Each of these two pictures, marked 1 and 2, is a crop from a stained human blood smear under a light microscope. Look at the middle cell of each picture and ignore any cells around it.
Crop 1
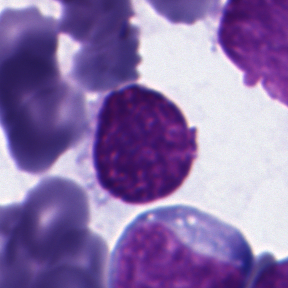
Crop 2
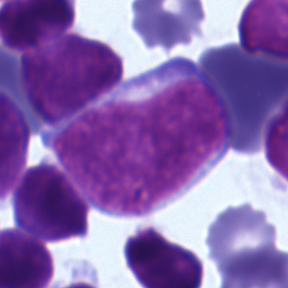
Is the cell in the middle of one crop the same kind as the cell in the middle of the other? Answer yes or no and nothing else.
yes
